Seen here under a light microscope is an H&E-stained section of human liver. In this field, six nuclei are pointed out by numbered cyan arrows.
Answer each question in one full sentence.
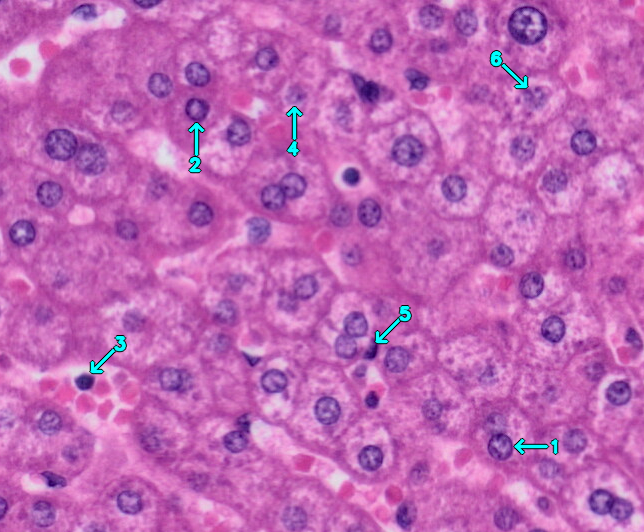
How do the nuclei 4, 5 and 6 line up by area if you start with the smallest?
The order from the smallest nucleus to the largest is 5, 4, 6.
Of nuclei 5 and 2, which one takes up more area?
Of the two, number 2 is bigger and takes up about 2 times the area of number 5.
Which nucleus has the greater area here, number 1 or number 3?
Of the two, number 1 is bigger and takes up about 2 times the area of number 3.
